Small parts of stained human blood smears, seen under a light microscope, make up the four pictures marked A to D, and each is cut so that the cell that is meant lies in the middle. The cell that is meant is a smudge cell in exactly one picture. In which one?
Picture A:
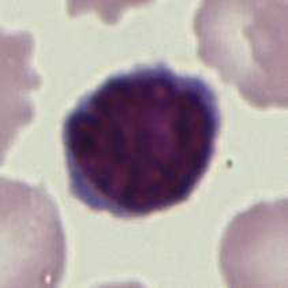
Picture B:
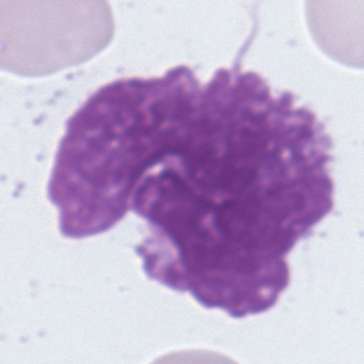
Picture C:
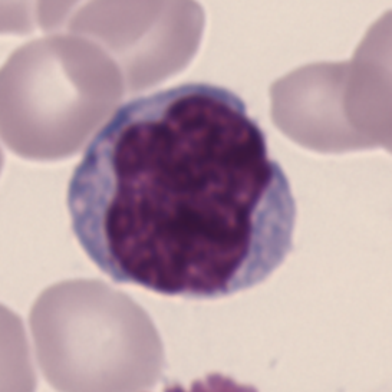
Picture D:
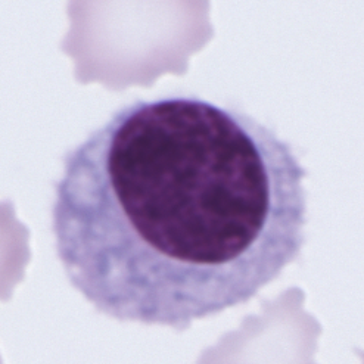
B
